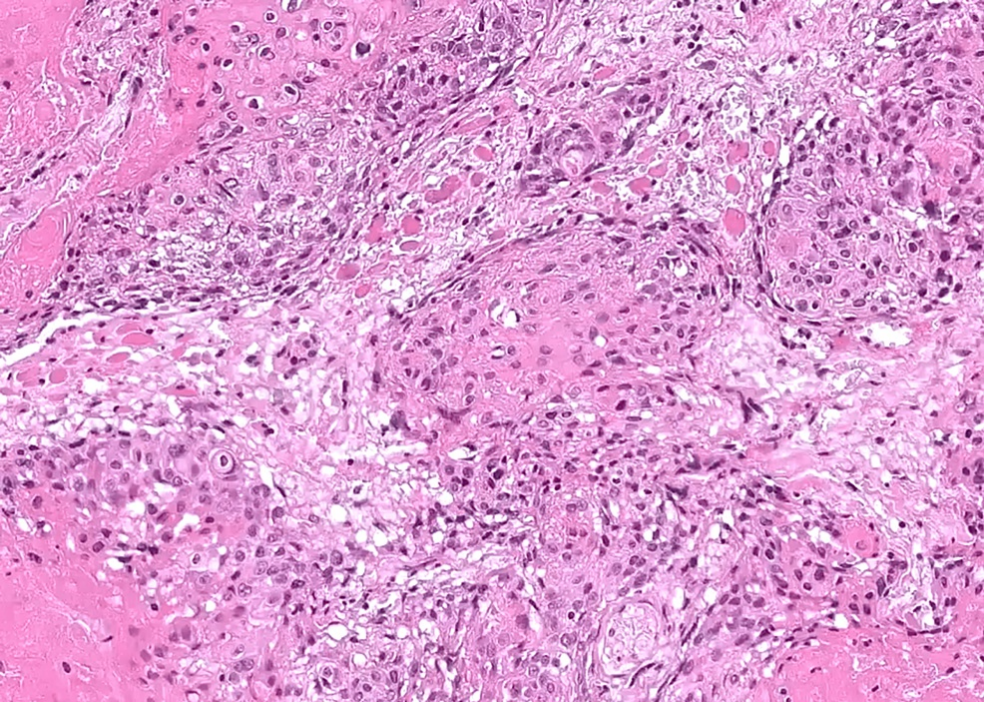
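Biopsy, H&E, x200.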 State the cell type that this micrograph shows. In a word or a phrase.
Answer: Polygonal cells with large, irregular nuclei and abundant eosinophilic cytoplasm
